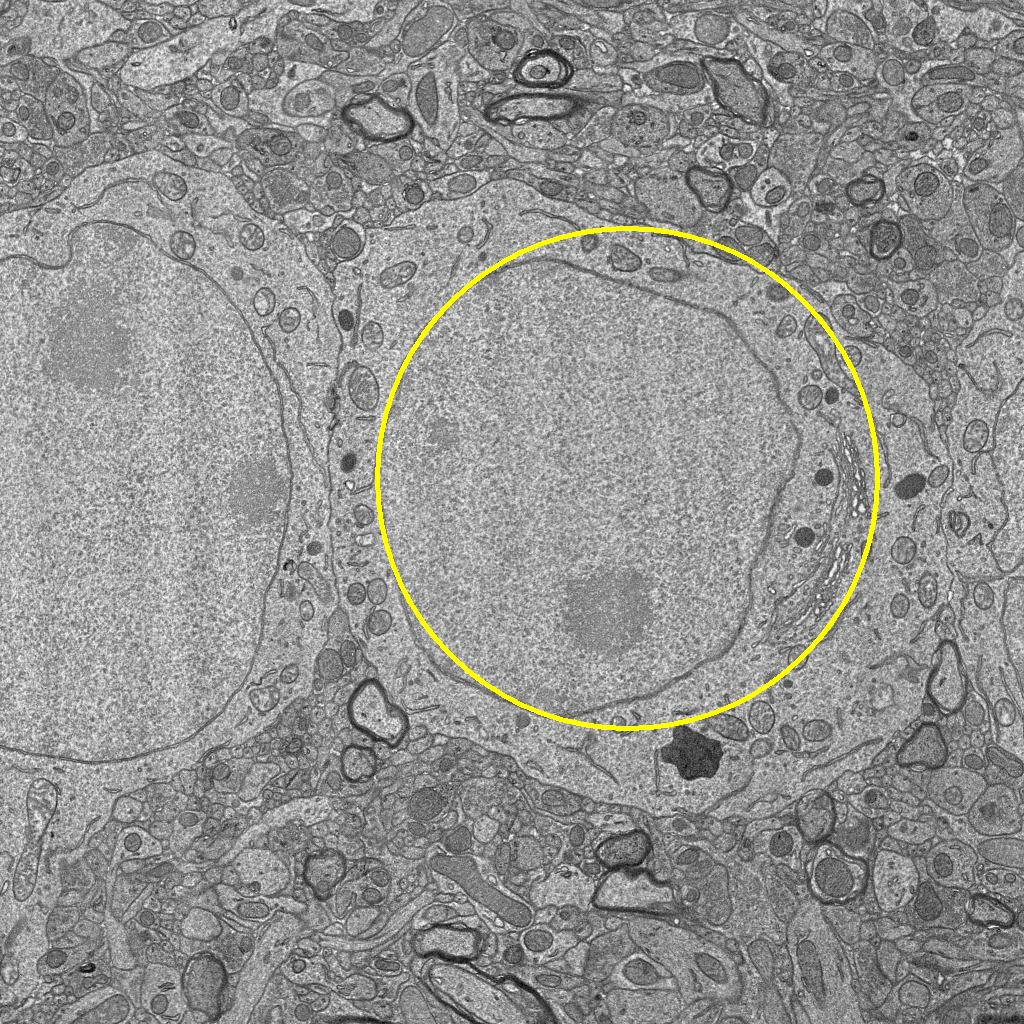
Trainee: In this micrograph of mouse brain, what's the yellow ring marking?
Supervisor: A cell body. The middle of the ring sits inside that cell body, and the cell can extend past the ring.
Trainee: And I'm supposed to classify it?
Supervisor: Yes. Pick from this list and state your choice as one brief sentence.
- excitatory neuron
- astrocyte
The cell at the ring's center is an excitatory neuron.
